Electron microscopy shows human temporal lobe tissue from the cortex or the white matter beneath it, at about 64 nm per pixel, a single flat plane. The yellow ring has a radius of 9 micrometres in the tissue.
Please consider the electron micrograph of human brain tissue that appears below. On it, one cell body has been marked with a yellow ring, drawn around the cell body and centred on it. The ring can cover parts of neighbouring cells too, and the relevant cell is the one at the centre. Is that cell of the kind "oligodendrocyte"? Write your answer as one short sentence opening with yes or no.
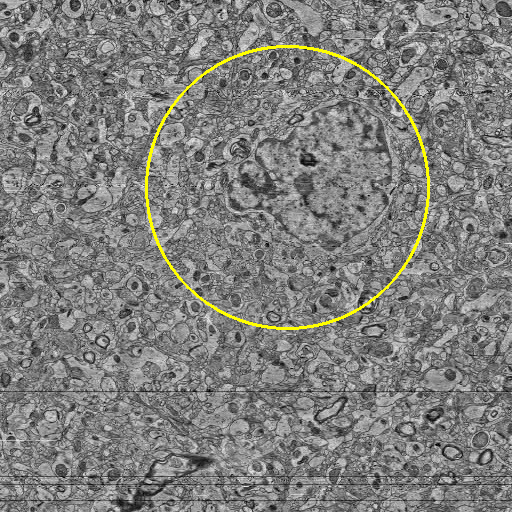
No, it is of another kind.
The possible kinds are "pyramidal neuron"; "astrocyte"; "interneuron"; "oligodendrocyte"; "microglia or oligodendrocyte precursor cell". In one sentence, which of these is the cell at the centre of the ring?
The cell at the middle of the ring is a microglial cell or oligodendrocyte precursor cell.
